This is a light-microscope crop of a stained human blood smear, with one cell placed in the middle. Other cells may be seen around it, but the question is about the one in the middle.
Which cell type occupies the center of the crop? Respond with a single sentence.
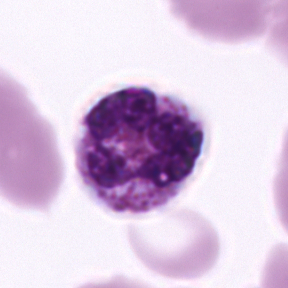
Located at the centre of the crop is an eosinophil.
